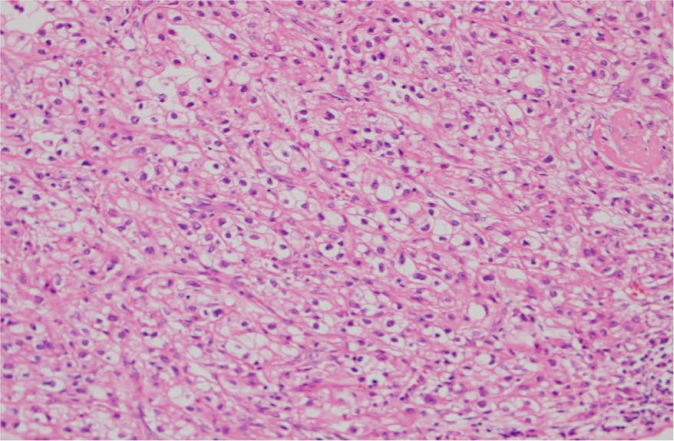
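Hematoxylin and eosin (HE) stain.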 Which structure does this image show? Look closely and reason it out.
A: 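Thin pink strands run between groups of clear cells. The strands form a branching delicate network.
Answer: thin-walled vascular network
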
